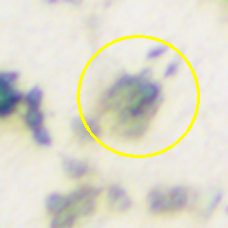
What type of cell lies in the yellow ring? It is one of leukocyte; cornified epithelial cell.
The ringed cell is a cornified epithelial cell.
